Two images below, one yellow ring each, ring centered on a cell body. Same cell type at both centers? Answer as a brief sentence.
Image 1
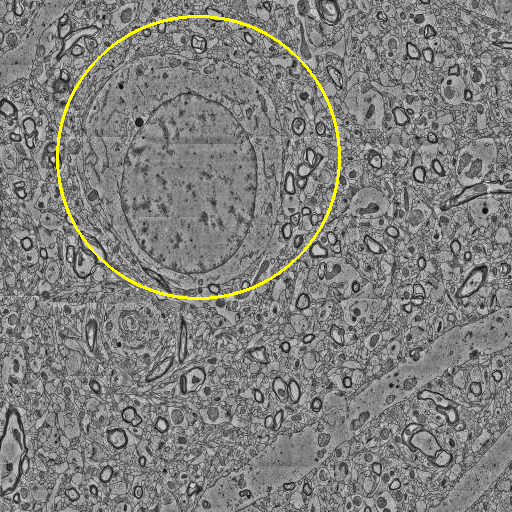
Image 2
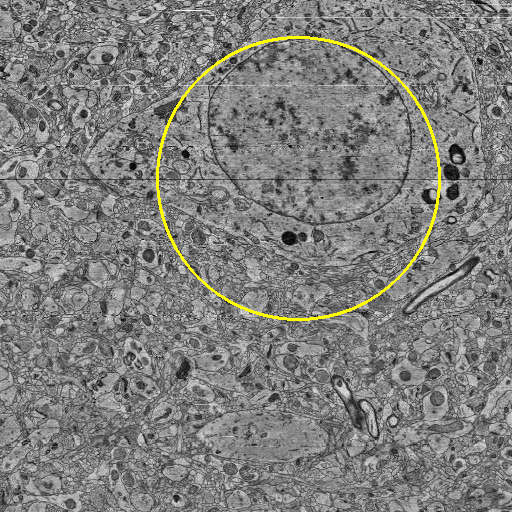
Yes, both cells are of the same type.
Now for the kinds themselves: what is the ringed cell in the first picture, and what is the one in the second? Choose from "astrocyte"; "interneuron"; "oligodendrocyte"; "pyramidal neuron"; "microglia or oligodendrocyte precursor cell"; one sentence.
Each one of the two ringed cells is a pyramidal neuron.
